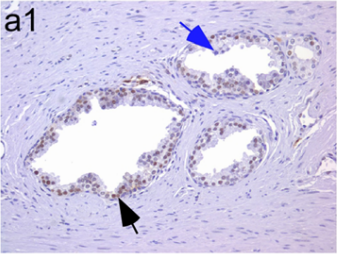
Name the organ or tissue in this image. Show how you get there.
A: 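Benign prostate tissue. Glands with wide open lumens lined by a regular epithelial layer. Glands are separated by fibromuscular stroma.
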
